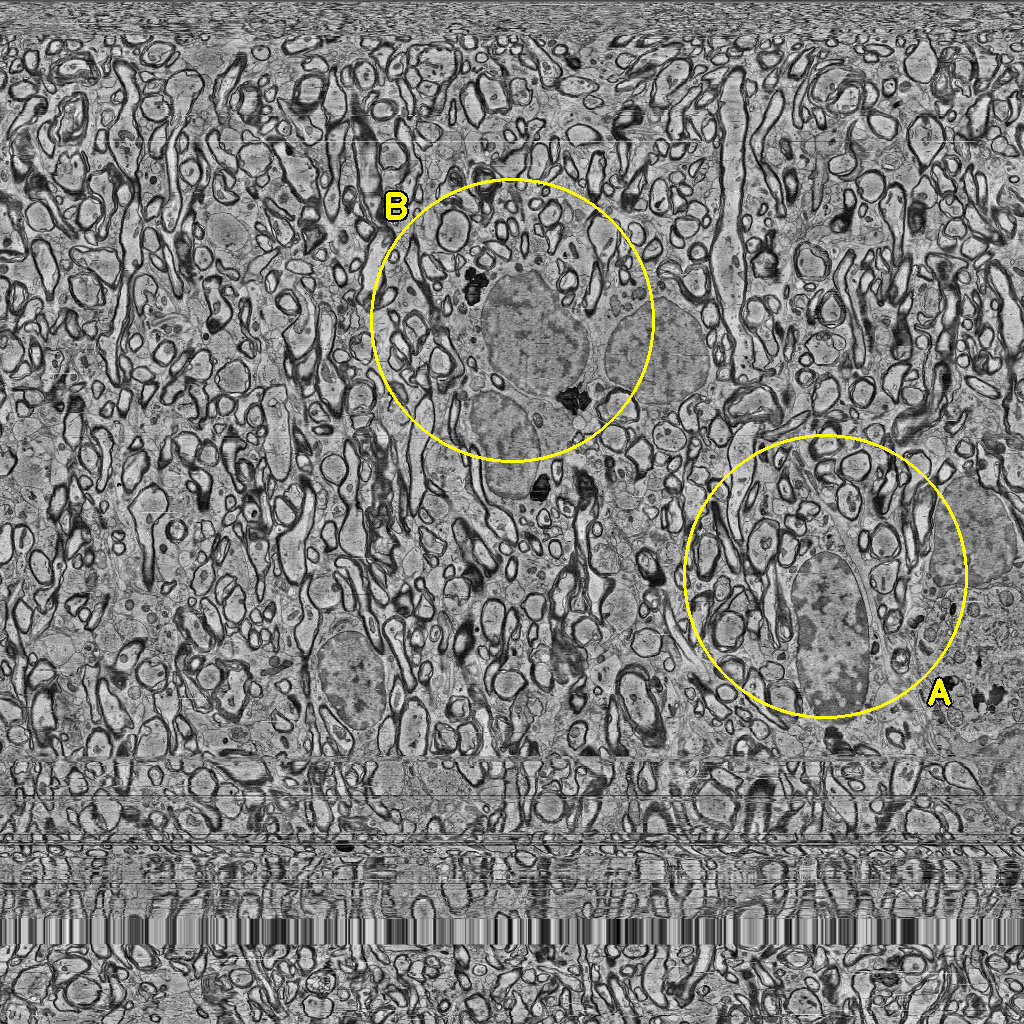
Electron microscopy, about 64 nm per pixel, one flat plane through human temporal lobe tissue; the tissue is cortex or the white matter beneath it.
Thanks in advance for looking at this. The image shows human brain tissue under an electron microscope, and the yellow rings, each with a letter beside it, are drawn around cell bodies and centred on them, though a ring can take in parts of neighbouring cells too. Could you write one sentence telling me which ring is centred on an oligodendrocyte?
Ring B is centred on it.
